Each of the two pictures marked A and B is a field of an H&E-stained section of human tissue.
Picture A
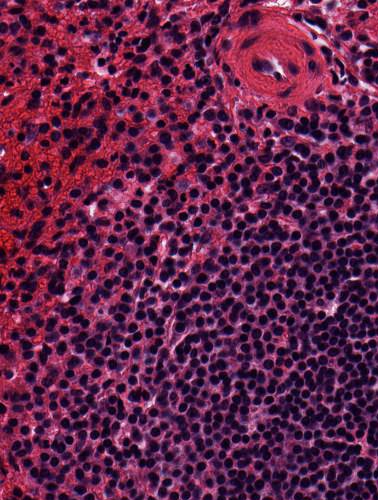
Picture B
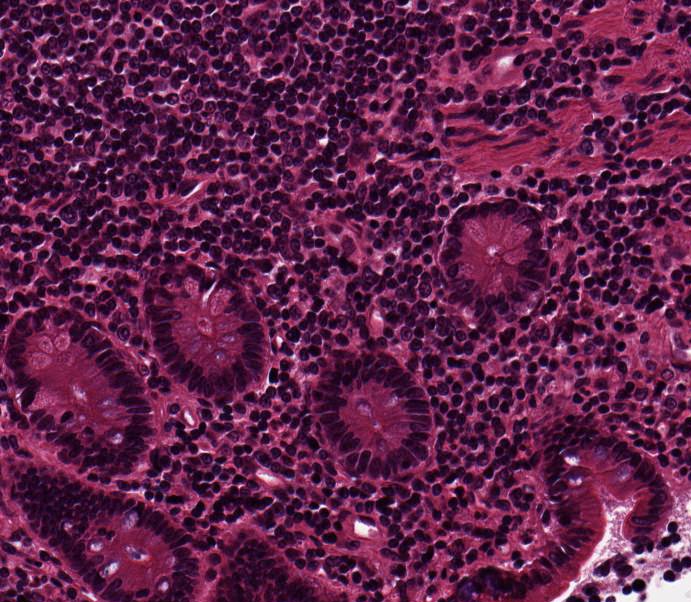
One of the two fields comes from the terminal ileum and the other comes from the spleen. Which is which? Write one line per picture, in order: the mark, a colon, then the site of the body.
A: spleen
B: terminal ileum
